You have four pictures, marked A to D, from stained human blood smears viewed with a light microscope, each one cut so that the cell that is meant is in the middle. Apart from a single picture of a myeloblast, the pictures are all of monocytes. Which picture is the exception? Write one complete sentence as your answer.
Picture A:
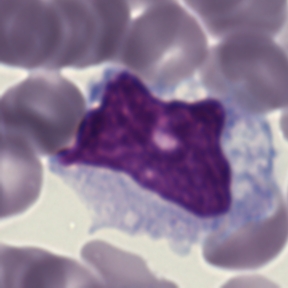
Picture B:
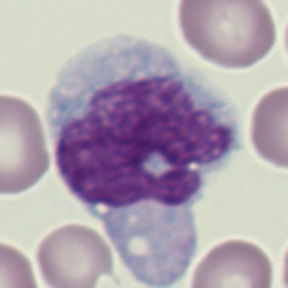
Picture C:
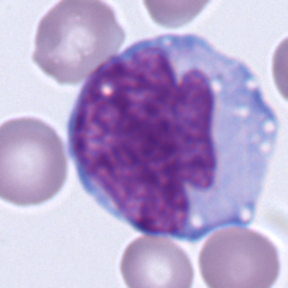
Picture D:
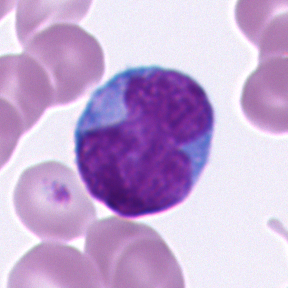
It is picture C that shows the myeloblast.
